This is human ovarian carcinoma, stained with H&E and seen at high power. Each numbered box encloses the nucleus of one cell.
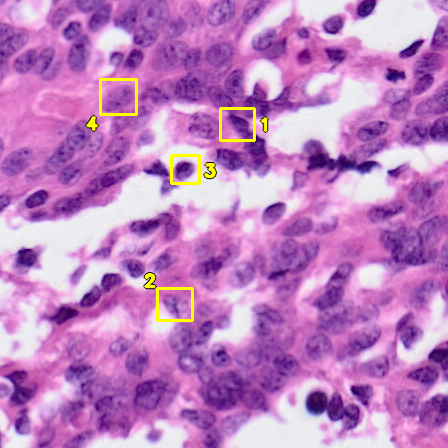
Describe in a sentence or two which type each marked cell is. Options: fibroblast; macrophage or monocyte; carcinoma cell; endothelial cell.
Cell 1 is a macrophage or monocyte, cell 2 is a macrophage or monocyte, cell 3 is a carcinoma cell and cell 4 is a carcinoma cell.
